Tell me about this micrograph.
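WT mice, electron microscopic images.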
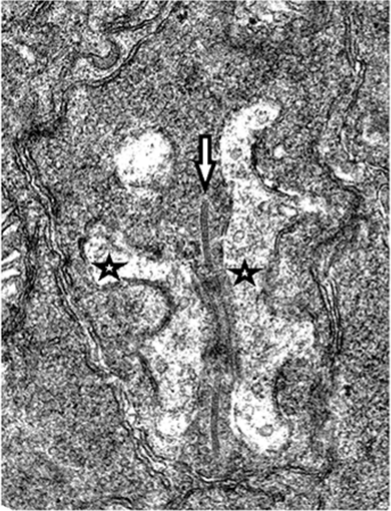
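A presynaptic terminal is filled with densely packed small, round synaptic vesicles and is bounded by a dark membrane outline. In its middle, a long, thin, electron-dense bar stands upright. Two pale, electron-lucent postsynaptic processes, each marked with an asterisk, flank this bar on either side, and further pale profiles lie nearby. This is a photoreceptor ribbon synapse. The dark bar is the synaptic ribbon, anchored near the apex of the invagination. The lateral processes beside it belong to horizontal cells, forming the typical invaginating arrangement of the photoreceptor terminal.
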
